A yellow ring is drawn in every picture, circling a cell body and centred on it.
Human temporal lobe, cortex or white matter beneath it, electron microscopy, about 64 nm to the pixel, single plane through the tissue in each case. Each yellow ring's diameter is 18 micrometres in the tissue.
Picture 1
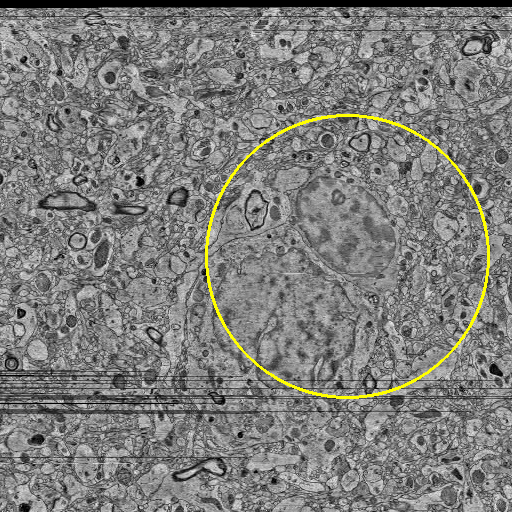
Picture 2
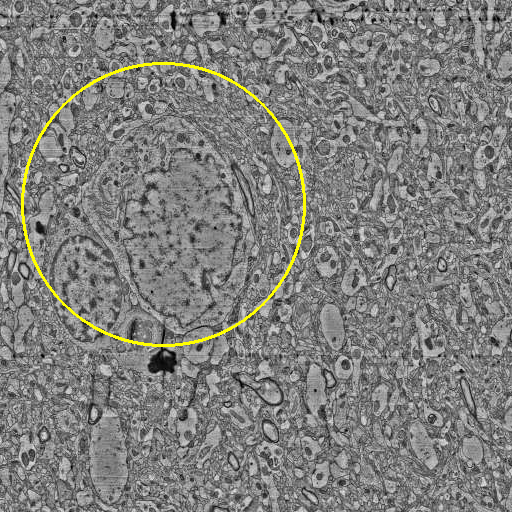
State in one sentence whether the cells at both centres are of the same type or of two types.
The cells at the two ring centres, one per picture, are of two types.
